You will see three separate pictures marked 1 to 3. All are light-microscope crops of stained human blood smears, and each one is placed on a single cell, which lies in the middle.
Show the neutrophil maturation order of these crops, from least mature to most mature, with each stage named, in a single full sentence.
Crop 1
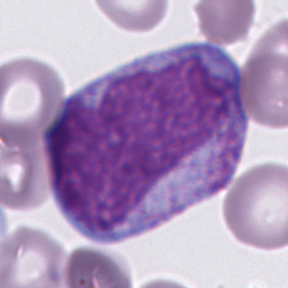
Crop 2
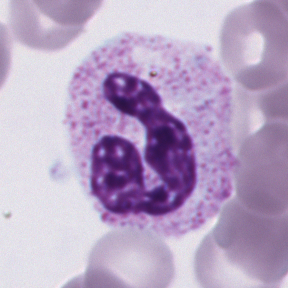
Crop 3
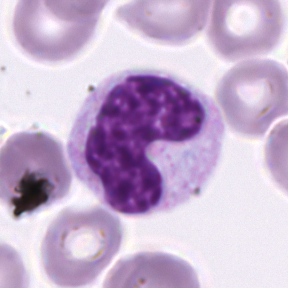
In terms of maturity, from lowest to highest, the order reads crop 1 (a promyelocyte), crop 3 (a band neutrophil) and crop 2 (a segmented neutrophil).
